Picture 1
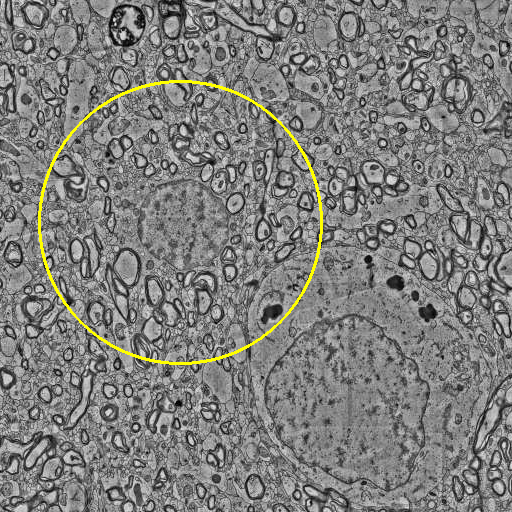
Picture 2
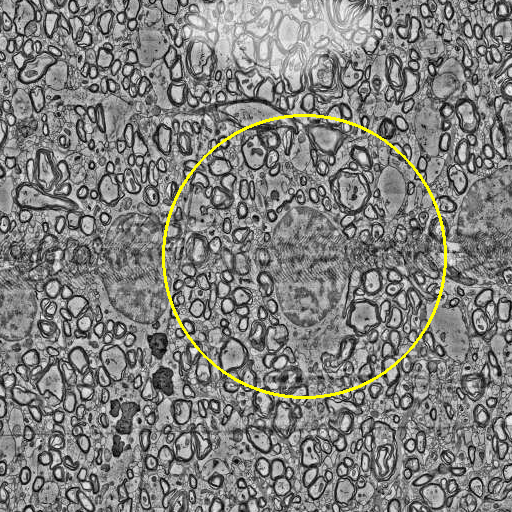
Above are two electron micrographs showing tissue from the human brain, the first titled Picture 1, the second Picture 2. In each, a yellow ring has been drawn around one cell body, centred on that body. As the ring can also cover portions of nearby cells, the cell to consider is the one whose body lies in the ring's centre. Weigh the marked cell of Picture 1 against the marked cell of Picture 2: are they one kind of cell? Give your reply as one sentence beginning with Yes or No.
Yes, the two cells sitting at the ring centres in the pictures are of one kind.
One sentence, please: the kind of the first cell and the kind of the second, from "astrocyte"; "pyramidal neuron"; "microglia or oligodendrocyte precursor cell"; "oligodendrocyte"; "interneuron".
In both pictures the ring is centred on an oligodendrocyte.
